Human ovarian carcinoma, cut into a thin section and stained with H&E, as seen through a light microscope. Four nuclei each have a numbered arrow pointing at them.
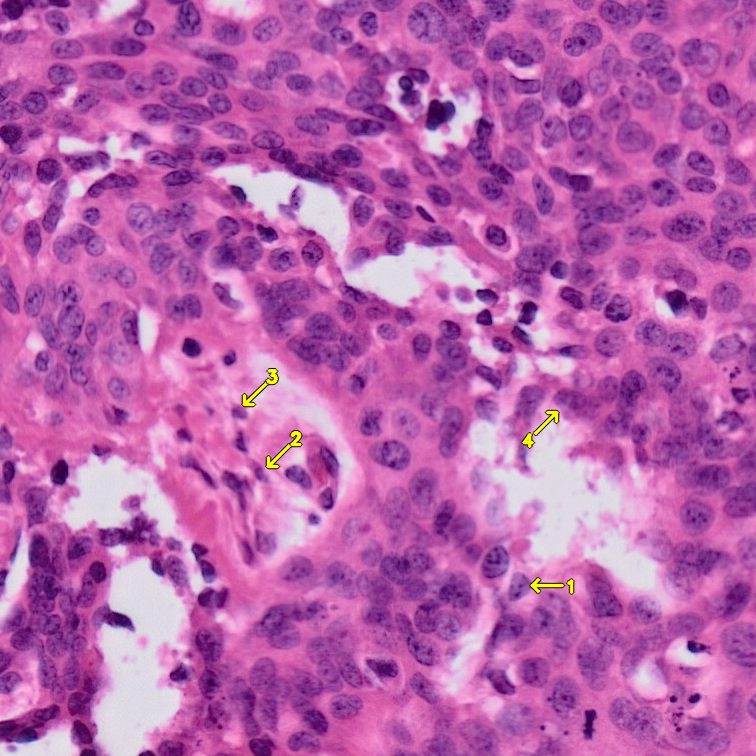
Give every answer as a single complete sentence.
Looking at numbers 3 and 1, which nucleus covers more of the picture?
Number 1 is larger; its area is about 3 times that of number 3.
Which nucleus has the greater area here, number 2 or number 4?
Nucleus 4 is the larger one, covering about 4 times the area of nucleus 2.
